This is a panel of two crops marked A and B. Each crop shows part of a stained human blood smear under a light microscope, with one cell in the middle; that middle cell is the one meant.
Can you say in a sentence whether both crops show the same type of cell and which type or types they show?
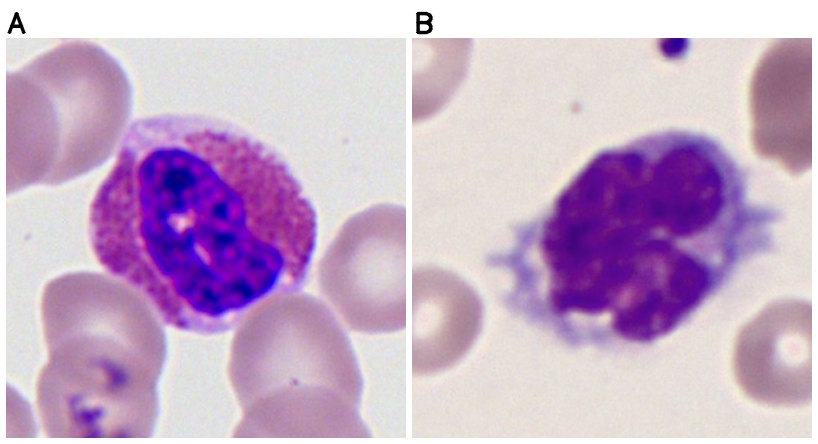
No, crop A has an eosinophil at its center, and crop B has a monocyte.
